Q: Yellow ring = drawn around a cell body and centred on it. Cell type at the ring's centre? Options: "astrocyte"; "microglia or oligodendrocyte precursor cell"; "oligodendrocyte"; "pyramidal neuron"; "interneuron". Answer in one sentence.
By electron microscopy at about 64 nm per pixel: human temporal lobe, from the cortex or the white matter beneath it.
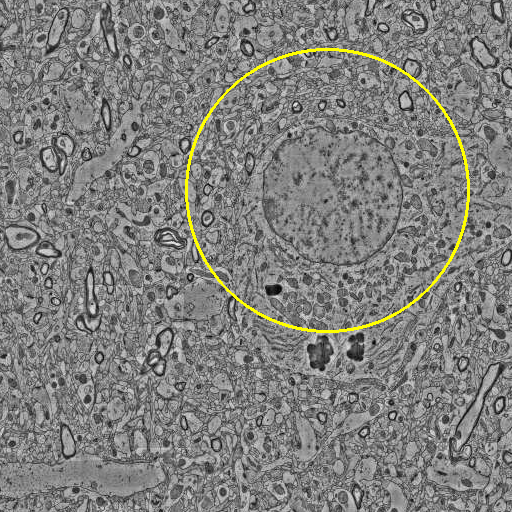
Centred in the ring is an interneuron.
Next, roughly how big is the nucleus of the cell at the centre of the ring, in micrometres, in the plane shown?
Approximately 9 micrometers across in this plane.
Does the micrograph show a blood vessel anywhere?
No, the picture includes no blood vessel.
